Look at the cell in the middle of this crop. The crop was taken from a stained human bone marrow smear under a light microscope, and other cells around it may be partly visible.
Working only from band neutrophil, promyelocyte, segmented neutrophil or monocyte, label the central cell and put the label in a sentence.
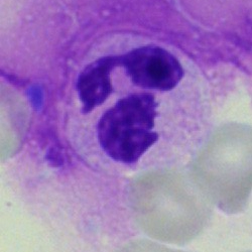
By classification, the middle cell of this crop is a segmented neutrophil.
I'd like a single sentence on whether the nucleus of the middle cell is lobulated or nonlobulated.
Look at the nucleus and you will find it divided into two or more lobes.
